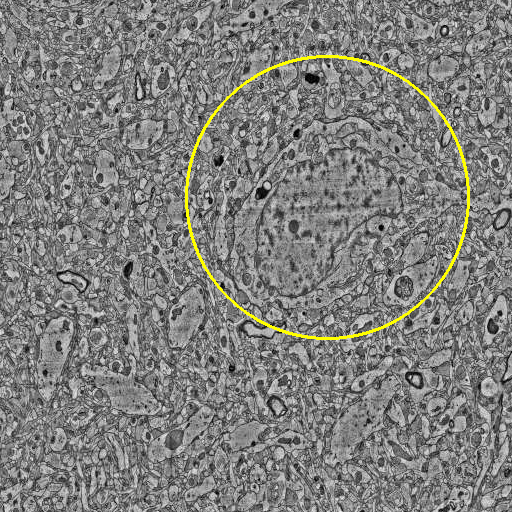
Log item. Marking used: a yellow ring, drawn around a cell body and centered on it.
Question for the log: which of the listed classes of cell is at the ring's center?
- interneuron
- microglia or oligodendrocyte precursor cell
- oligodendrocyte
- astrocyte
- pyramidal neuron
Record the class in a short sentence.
At the center of the ring lies an interneuron.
